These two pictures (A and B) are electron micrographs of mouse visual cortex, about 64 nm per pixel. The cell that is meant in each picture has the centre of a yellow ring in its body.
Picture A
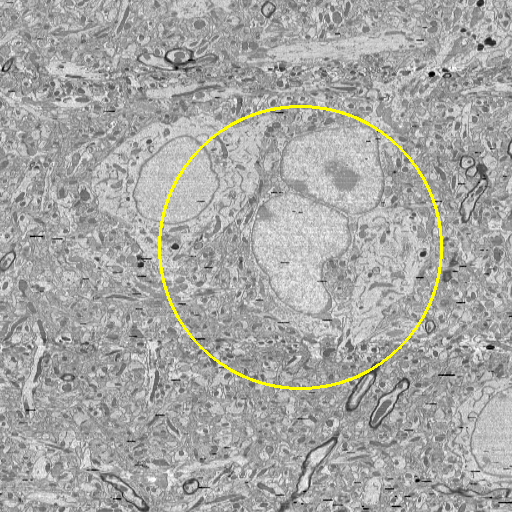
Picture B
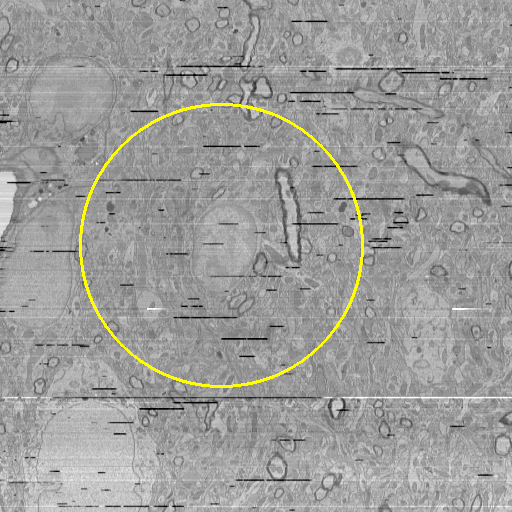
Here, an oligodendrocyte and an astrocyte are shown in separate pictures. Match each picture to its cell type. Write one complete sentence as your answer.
In picture A the cell is an astrocyte; in picture B, an oligodendrocyte.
